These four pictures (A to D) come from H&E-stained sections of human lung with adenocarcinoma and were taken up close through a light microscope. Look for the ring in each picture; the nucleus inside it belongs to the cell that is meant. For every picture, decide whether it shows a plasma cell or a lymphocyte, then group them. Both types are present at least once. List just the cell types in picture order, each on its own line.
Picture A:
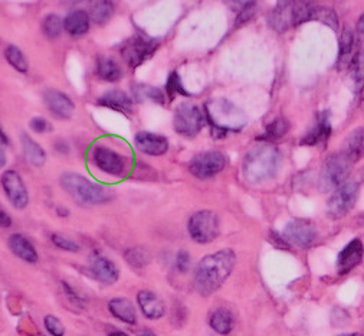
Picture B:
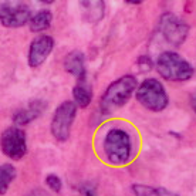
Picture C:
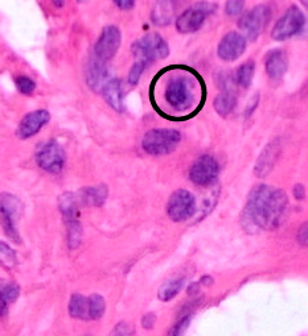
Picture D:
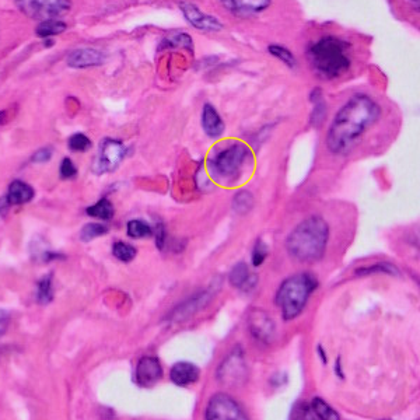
plasma cell
lymphocyte
plasma cell
plasma cell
